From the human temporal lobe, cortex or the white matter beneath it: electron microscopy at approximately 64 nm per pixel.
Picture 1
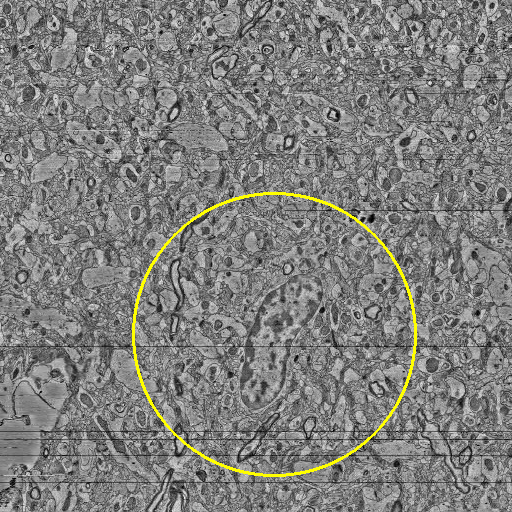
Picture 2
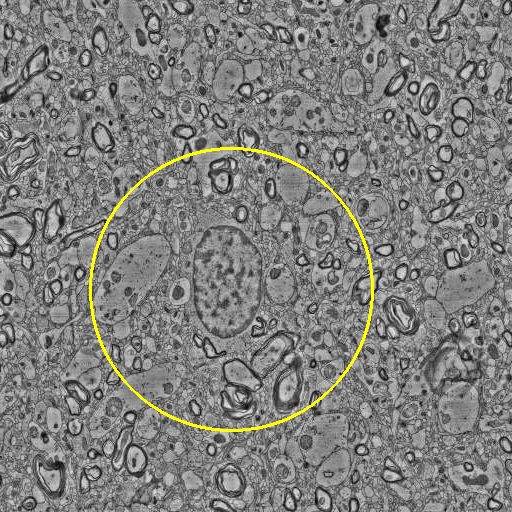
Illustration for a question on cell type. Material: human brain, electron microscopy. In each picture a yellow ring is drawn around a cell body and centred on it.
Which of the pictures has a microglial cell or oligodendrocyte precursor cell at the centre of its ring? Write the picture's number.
1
